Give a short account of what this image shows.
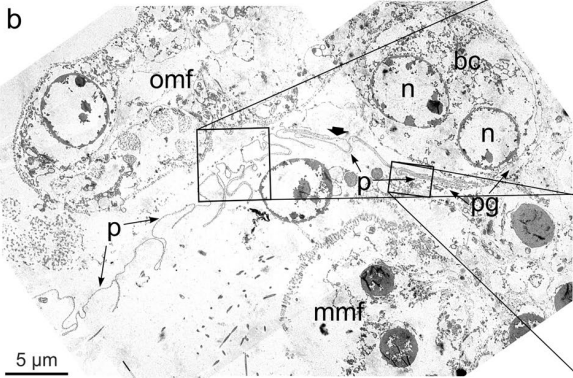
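This electron micrograph shows the periostracal secretion system at the mantle margin, with the outer and middle mantle folds on either side of a narrow groove. At the bottom of the groove lies a basal cell containing two large round nuclei with dense nucleoli. A thin electron-dense periostracum lamella issues from the basal cell and runs outward through the groove, becoming wavy and folded in the open space. Loose rounded organelles and granular debris lie in the groove near the lamella.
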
